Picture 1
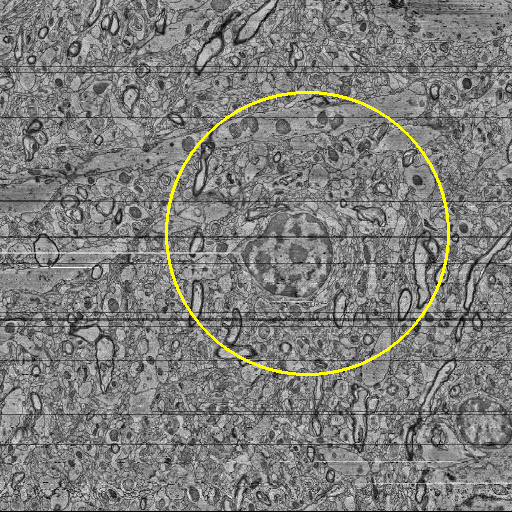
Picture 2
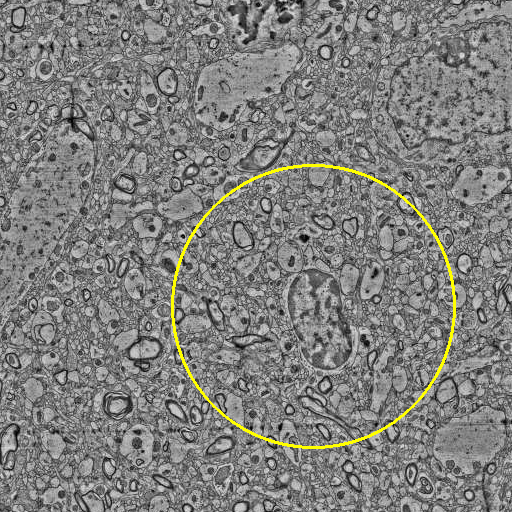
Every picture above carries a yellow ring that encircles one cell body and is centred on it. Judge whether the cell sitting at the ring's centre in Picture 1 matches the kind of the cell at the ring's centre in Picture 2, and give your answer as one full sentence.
Yes, the cells centred in the rings of Pictures 1 and 2 belong to one kind.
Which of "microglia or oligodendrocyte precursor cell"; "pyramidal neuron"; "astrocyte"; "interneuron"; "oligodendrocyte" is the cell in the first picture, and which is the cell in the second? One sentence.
In the first picture and in the second, the ring is centred on a microglial cell or oligodendrocyte precursor cell.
